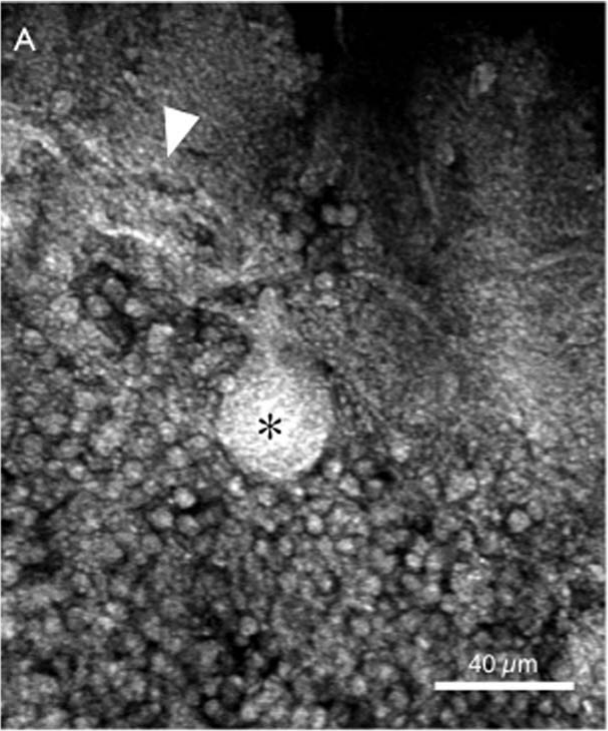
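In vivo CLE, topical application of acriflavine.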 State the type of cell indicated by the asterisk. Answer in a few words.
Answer: Purkinje cells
